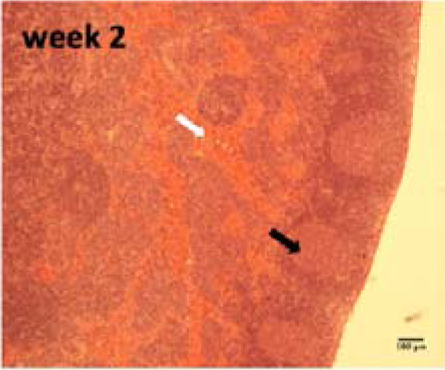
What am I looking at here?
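This is a low-magnification section through part of a lymph node, stained pink-red and purple. The outer border of the node is smooth and curved on the right side.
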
